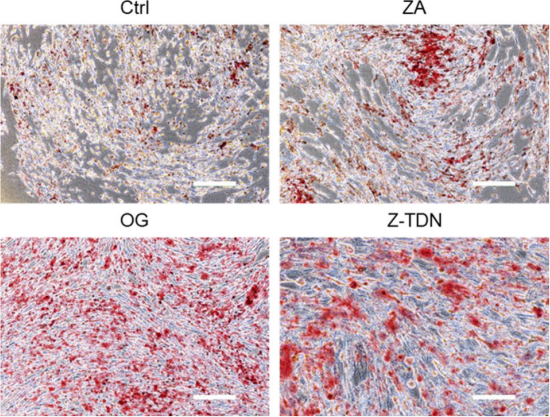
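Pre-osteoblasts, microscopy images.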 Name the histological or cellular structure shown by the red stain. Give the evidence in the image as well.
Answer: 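Red granular patches lie scattered among the cells. The red material is densest in the lower two images. Elongated cells form a layer beneath the red deposits.
Conclusion: calcium deposits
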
